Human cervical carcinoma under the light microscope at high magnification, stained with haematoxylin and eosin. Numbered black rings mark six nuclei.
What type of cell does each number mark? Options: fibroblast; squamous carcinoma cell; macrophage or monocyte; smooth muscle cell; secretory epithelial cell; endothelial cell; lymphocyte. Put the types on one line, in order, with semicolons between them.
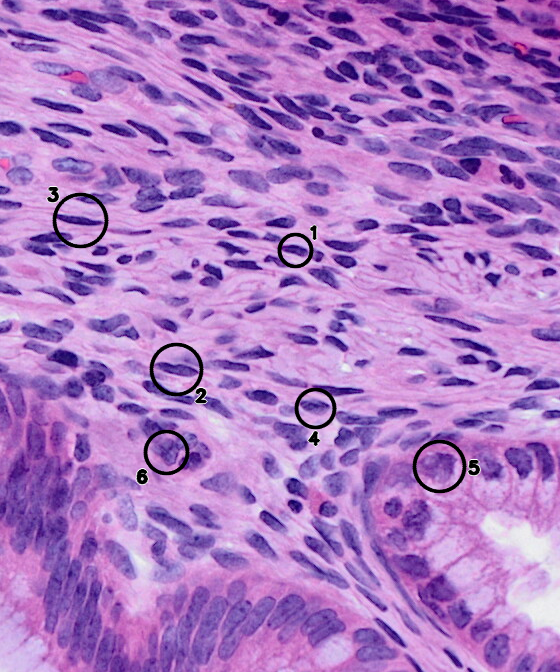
fibroblast; fibroblast; fibroblast; fibroblast; secretory epithelial cell; endothelial cell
